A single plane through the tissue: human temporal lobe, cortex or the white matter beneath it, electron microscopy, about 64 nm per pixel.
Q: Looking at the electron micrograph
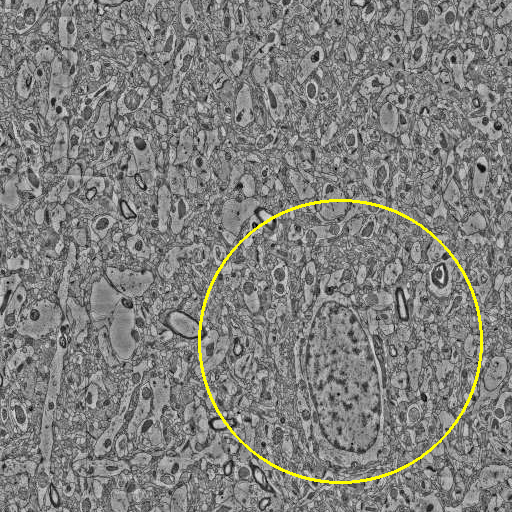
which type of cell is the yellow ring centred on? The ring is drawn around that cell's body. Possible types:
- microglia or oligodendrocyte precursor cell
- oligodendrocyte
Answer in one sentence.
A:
The yellow ring is centred on a microglial cell or oligodendrocyte precursor cell.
